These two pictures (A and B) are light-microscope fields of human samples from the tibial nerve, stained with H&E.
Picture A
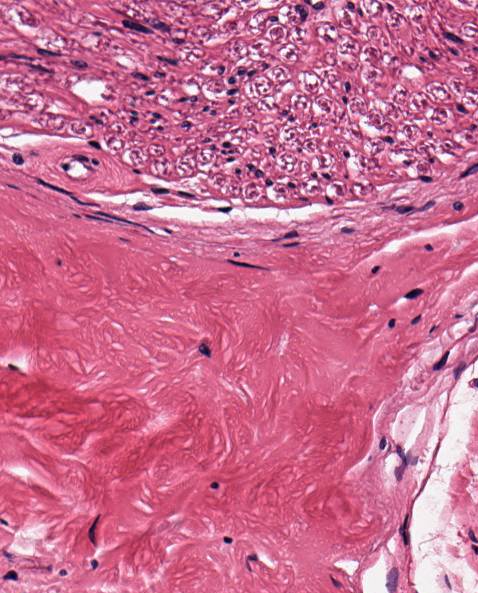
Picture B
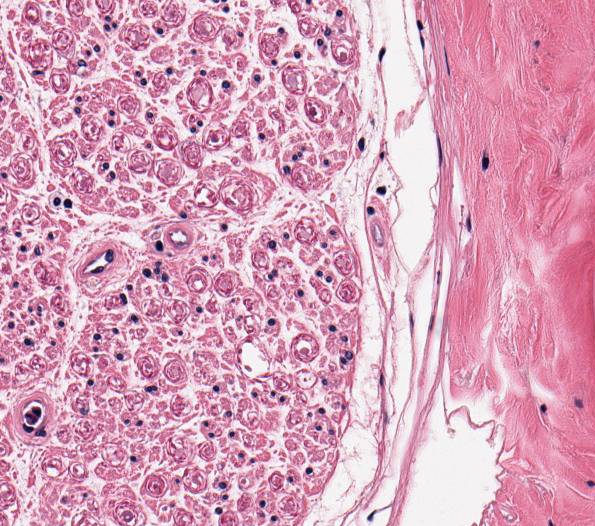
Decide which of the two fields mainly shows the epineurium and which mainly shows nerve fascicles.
A: epineurium
B: nerve fascicles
